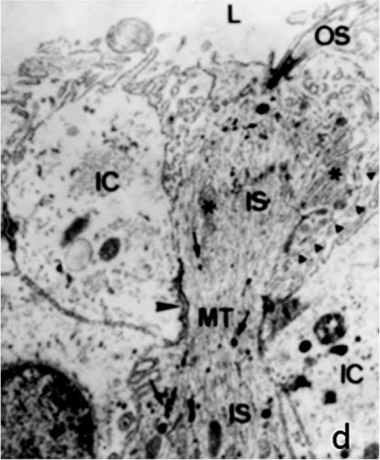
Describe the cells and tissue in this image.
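Elongated receptor cells run from below toward a pale lumen at the top, flanked by paler interstitial cells with scattered mitochondria and dense granules. The receptor cells' inner parts are packed with fine parallel filaments running along the cell's length, and a dark membrane thickening joins neighbouring cells. At the apex a small, thin membranous projection reaches into the lumen, far smaller than a well-formed stack of discs. Along one side lie swollen, widened membrane cisternae.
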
